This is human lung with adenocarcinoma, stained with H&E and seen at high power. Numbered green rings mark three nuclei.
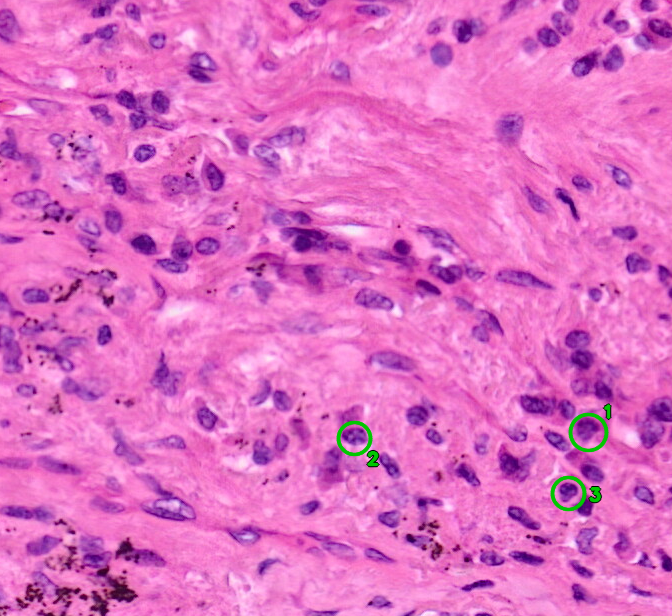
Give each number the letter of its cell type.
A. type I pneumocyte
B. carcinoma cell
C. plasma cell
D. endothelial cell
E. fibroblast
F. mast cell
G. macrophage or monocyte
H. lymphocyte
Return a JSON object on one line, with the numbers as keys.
{"1": "C", "2": "H", "3": "H"}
